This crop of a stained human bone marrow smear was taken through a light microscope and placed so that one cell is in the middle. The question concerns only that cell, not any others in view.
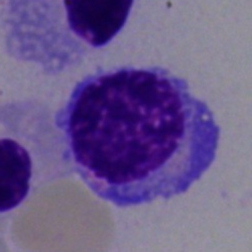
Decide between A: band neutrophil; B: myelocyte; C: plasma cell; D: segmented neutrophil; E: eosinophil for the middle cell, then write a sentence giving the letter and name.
The correct identification, given in option C, is that the central cell is a plasma cell.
